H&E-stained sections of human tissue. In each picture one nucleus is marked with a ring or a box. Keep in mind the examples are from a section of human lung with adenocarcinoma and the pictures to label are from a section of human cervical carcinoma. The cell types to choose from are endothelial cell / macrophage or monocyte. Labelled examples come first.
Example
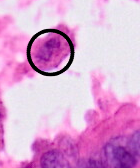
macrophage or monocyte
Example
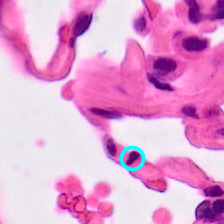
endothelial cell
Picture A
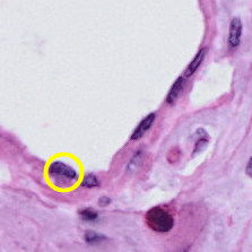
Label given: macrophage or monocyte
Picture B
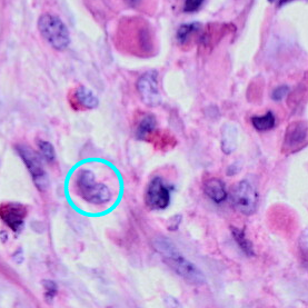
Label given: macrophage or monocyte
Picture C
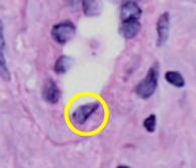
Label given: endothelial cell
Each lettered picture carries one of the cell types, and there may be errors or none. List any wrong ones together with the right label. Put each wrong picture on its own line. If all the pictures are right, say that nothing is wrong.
A should be endothelial cell, not macrophage or monocyte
